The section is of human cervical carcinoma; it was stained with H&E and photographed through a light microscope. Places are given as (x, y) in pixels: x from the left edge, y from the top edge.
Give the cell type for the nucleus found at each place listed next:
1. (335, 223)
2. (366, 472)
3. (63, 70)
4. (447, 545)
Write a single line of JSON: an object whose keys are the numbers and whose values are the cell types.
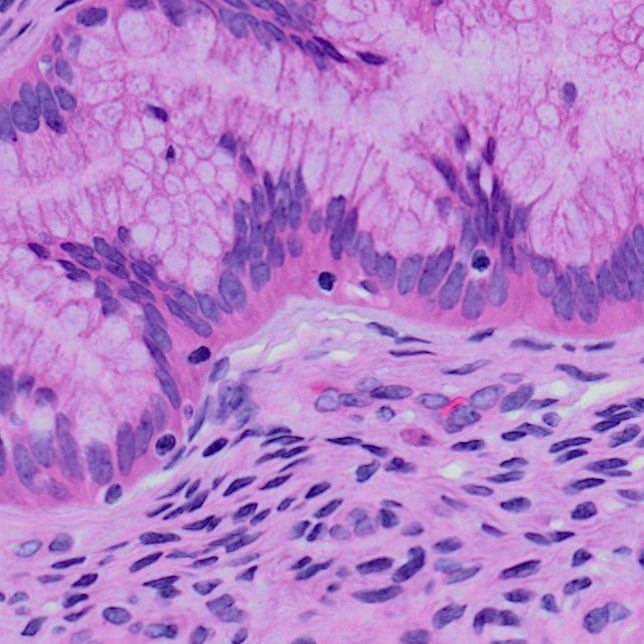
{"1": "secretory epithelial cell", "2": "fibroblast", "3": "secretory epithelial cell", "4": "fibroblast"}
